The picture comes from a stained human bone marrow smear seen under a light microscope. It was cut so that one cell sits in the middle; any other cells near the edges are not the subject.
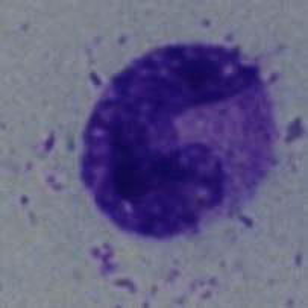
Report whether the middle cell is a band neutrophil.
yes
